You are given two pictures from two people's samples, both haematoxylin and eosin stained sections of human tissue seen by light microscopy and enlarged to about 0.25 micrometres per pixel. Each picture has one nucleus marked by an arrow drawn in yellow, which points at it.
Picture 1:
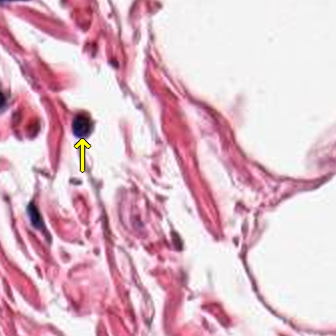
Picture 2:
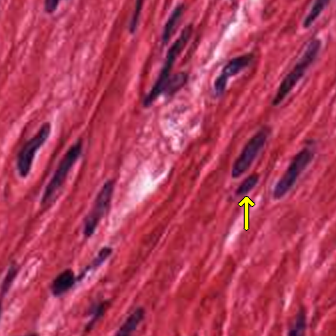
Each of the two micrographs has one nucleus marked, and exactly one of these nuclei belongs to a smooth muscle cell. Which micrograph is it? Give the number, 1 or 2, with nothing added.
2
